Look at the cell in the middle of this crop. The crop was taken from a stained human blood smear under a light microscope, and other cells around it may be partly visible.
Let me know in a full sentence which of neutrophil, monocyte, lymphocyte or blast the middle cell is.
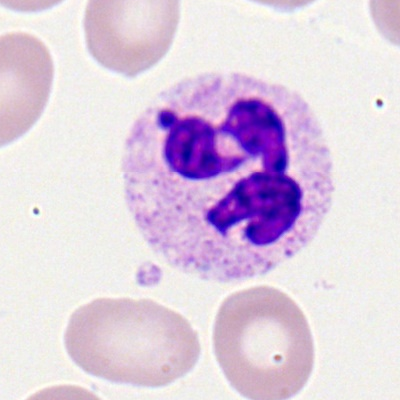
This crop has a neutrophil at its centre.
